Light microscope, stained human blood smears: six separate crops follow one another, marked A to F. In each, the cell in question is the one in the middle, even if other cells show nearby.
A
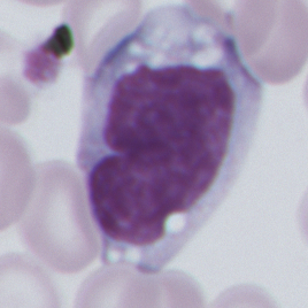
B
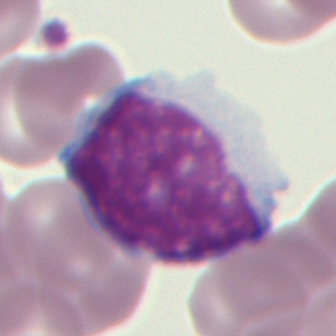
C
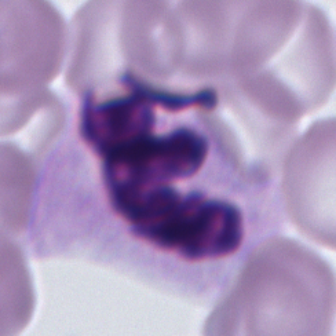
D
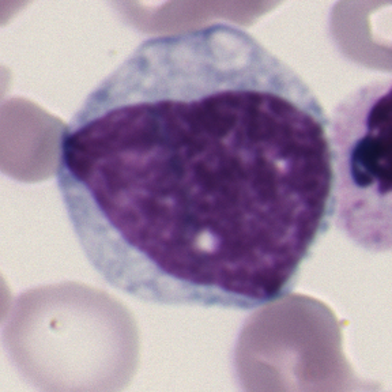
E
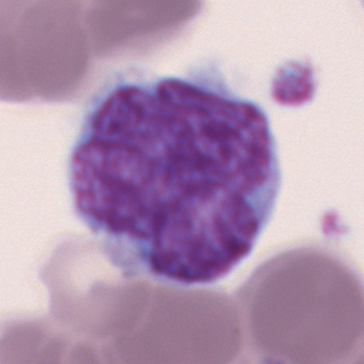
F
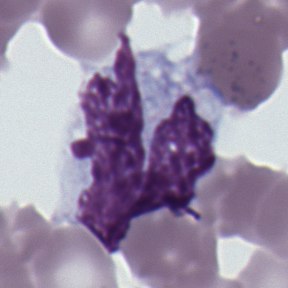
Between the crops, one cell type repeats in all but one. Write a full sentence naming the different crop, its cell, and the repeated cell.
The different one is crop C, which is a segmented neutrophil; the rest all show monocytes.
